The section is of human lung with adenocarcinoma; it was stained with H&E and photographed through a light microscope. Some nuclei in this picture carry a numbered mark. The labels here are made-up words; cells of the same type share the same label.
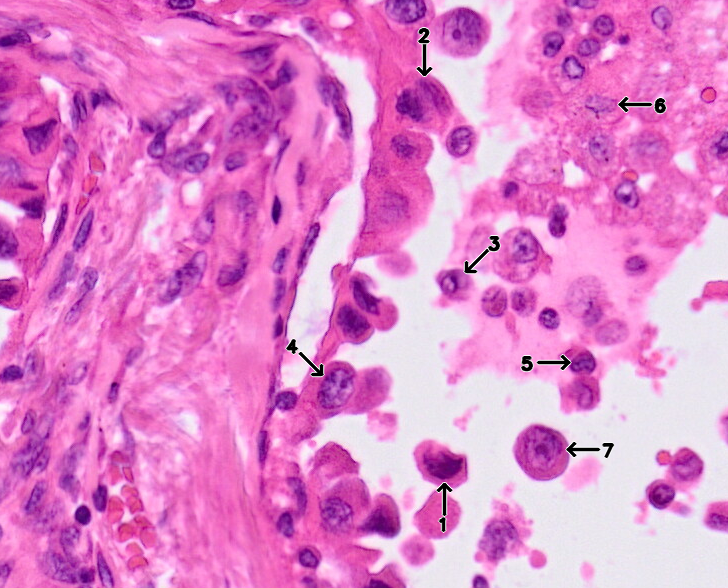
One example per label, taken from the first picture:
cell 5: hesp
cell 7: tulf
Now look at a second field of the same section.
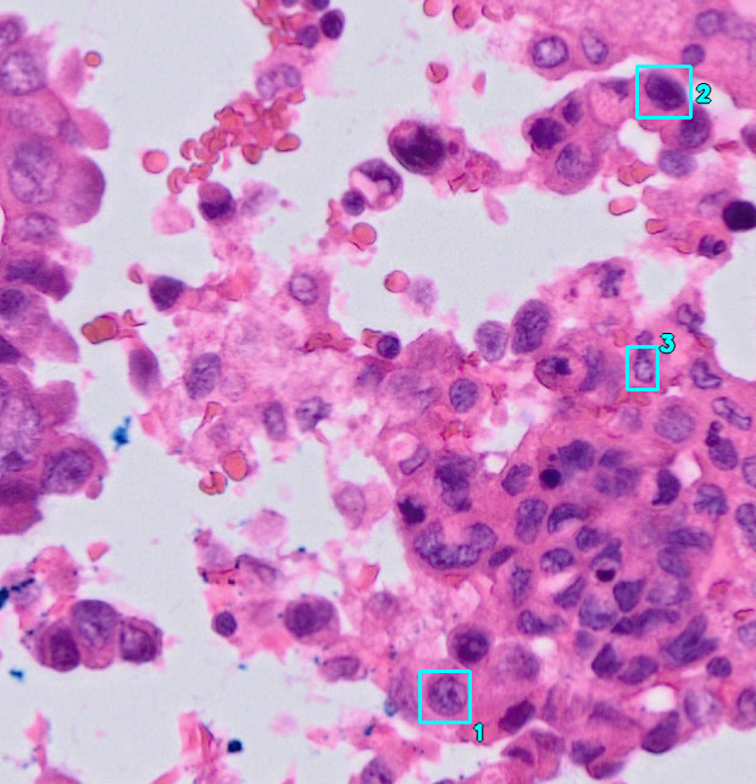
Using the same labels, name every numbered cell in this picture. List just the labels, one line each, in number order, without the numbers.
tulf
tulf
hesp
